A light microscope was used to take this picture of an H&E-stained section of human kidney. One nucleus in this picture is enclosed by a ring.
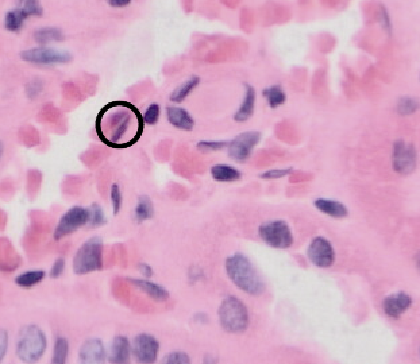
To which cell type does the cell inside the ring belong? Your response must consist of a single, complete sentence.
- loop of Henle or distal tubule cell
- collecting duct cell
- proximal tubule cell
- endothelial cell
The identity of the cell inside the ring: it is an endothelial cell.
